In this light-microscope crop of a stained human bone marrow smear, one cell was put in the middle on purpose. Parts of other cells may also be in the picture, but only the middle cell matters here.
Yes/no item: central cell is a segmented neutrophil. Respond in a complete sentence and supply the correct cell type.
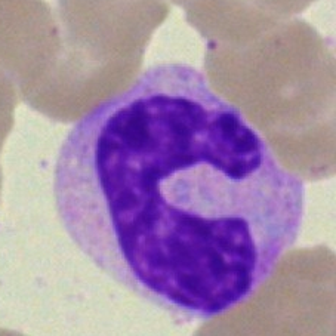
No, the central cell is properly termed a band neutrophil, not a segmented neutrophil.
